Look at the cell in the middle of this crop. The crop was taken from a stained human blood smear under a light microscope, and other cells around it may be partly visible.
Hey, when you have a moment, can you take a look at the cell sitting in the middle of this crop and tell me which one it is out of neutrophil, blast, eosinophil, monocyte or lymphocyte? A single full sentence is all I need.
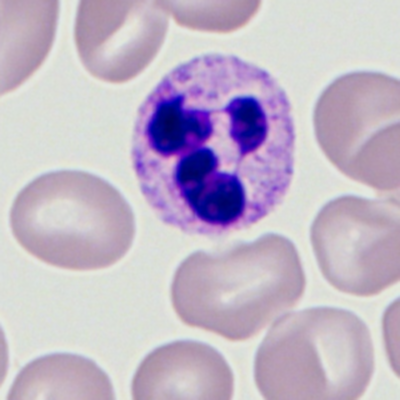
The cell in the middle of this crop is a neutrophil.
